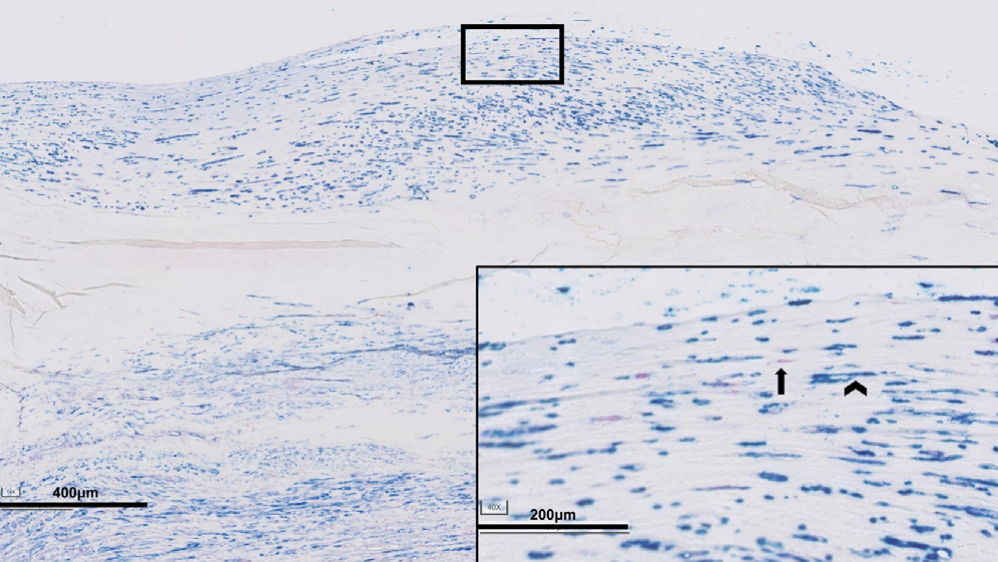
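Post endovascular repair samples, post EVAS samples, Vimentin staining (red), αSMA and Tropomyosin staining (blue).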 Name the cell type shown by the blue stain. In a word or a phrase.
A: Smooth muscle cells and myofibroblastic cells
